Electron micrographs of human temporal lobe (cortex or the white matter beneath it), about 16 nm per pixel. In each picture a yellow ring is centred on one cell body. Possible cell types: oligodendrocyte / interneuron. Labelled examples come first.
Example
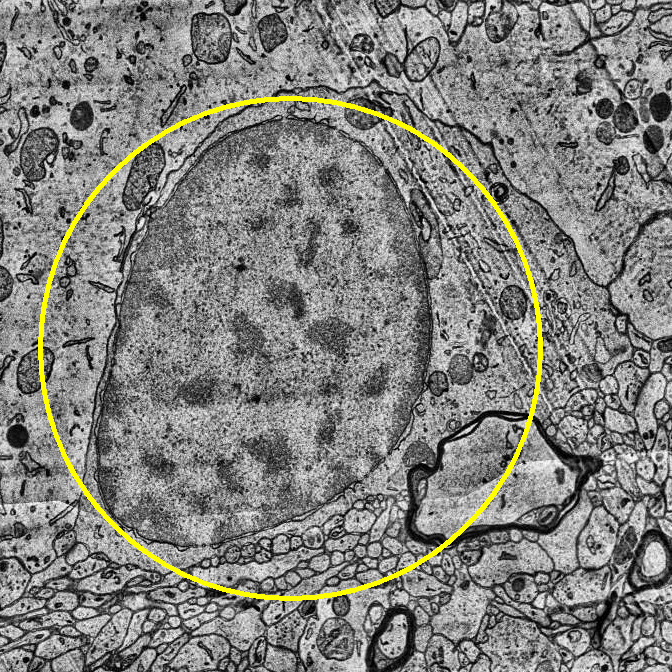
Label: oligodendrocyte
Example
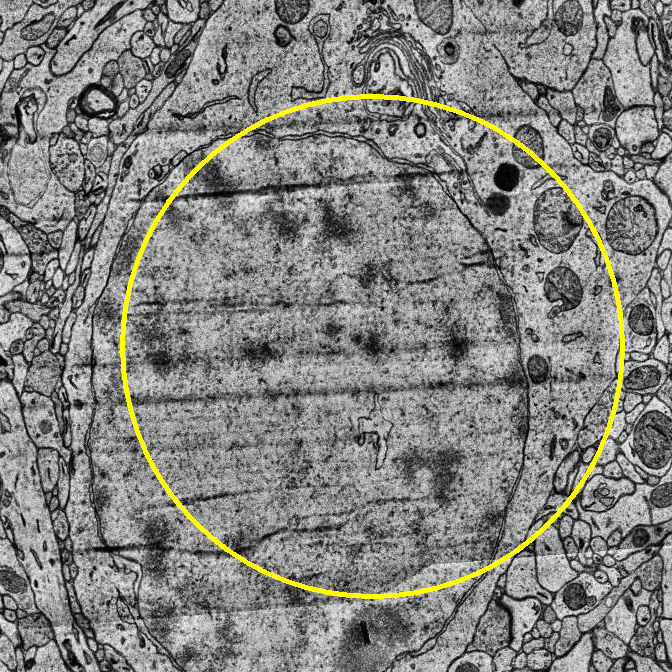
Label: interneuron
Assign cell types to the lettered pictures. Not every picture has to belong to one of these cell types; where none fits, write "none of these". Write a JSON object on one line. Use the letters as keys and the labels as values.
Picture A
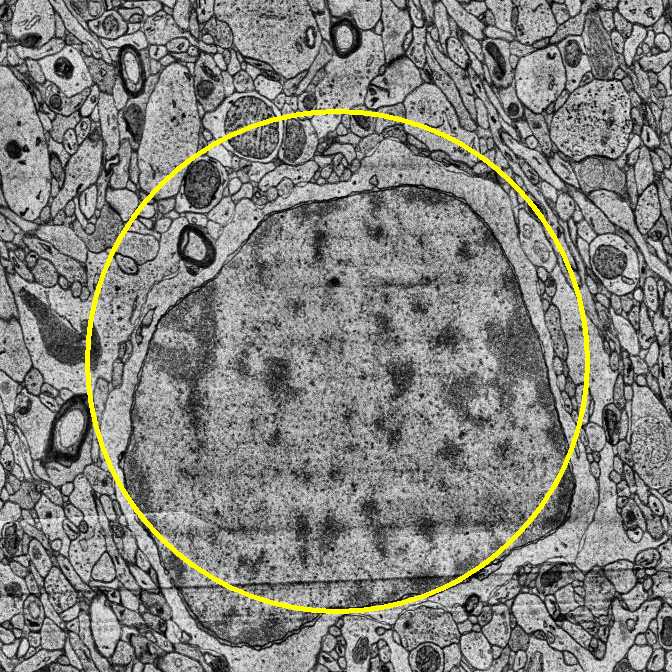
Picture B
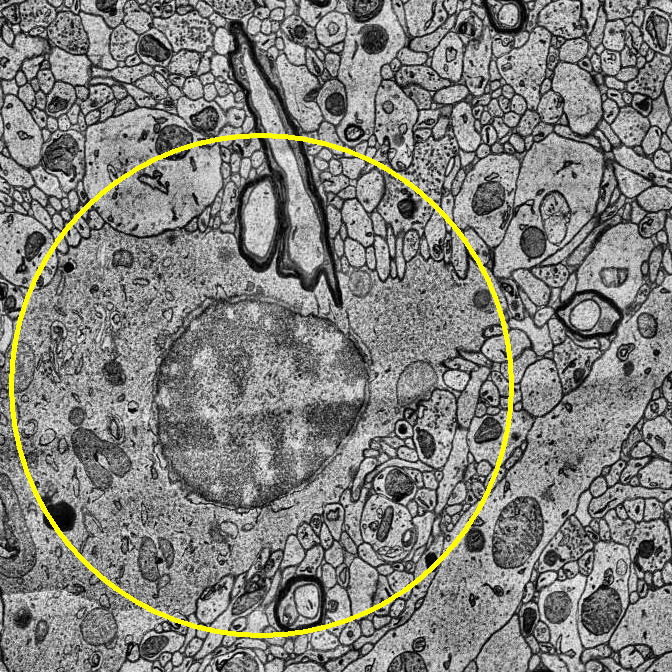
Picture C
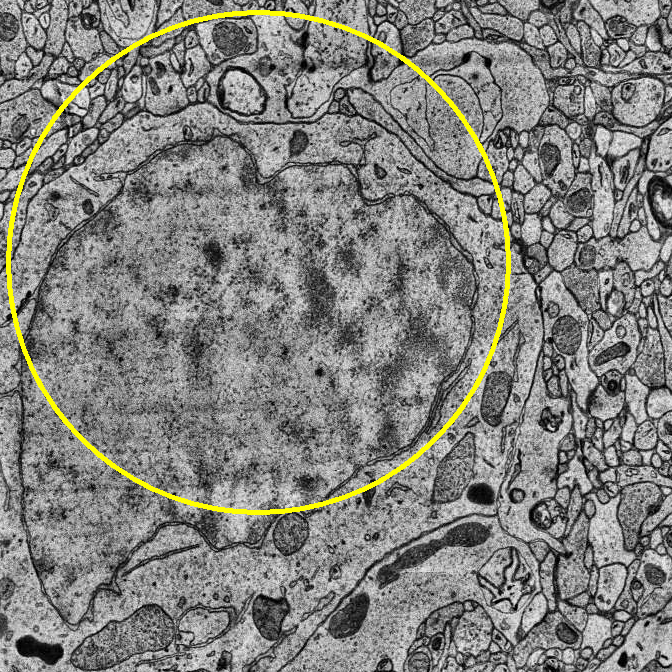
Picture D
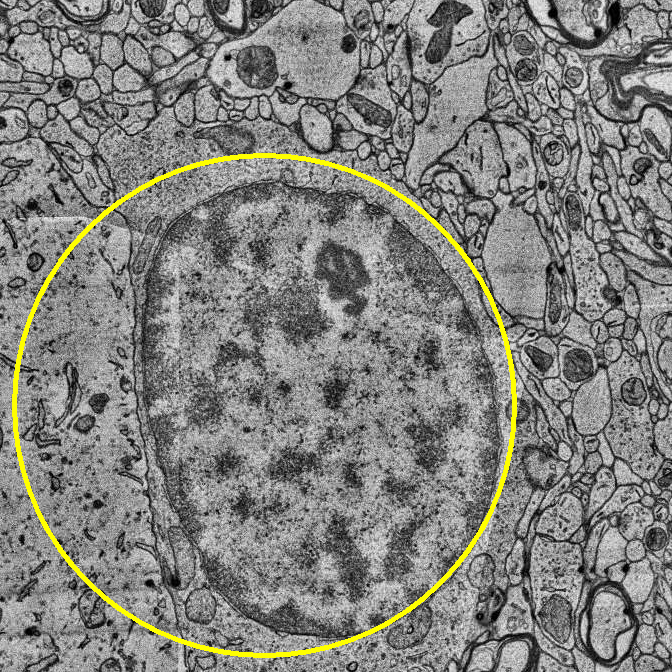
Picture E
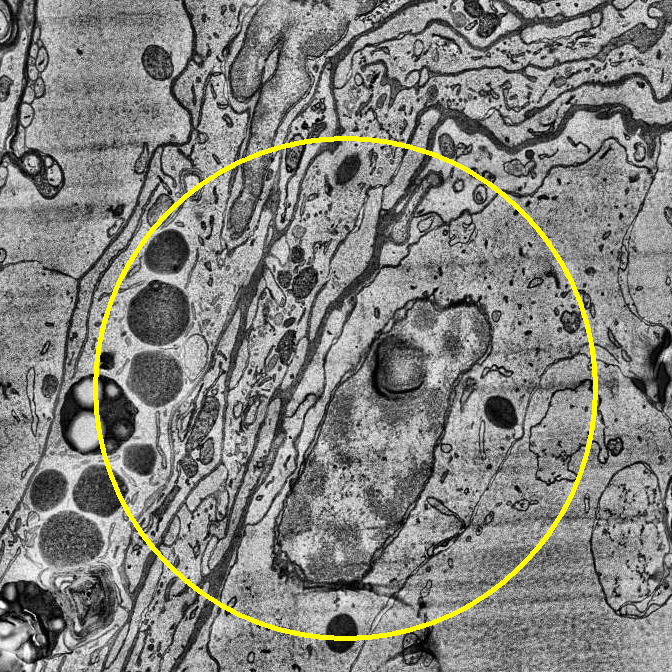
{"A": "none of these", "B": "oligodendrocyte", "C": "interneuron", "D": "oligodendrocyte", "E": "none of these"}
